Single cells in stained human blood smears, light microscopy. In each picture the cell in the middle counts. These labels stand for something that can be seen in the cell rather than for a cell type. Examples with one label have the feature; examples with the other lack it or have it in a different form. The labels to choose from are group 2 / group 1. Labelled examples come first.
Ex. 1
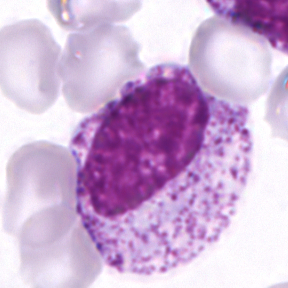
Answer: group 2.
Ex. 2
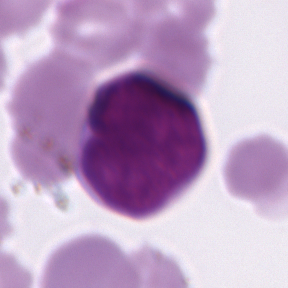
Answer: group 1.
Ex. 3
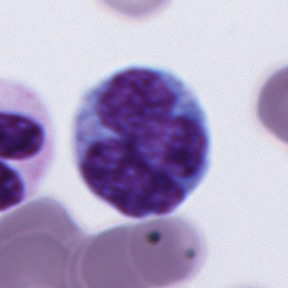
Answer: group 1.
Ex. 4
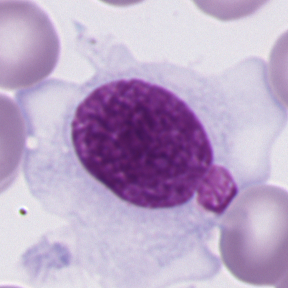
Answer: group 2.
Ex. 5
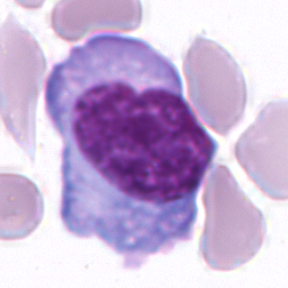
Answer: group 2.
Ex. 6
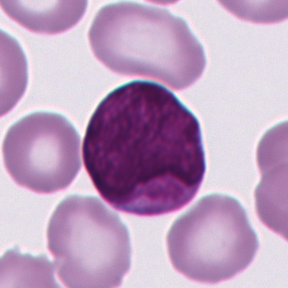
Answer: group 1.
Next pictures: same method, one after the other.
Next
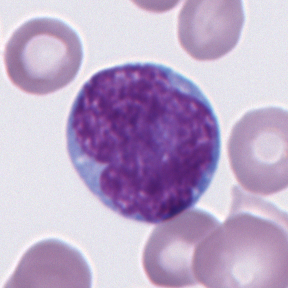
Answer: group 1.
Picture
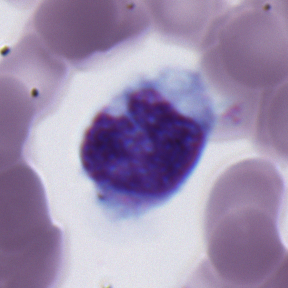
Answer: group 1.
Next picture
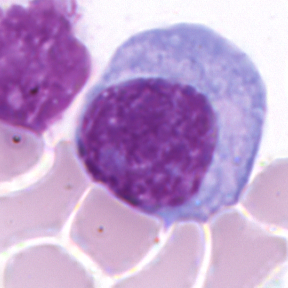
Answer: group 2.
